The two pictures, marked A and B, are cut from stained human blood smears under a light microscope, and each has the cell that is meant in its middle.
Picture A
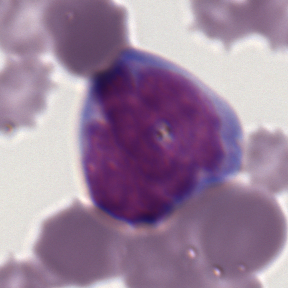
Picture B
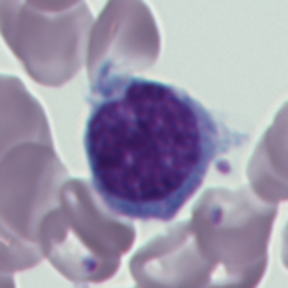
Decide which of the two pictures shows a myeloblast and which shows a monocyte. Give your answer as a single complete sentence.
The cell in picture A is a myeloblast, and the one in picture B is a monocyte.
